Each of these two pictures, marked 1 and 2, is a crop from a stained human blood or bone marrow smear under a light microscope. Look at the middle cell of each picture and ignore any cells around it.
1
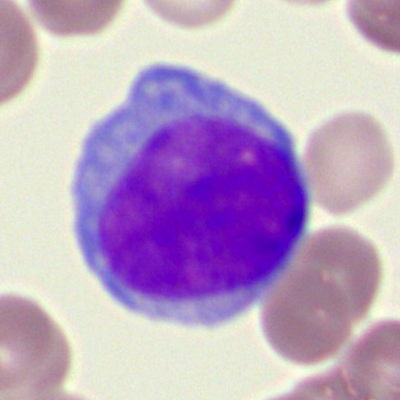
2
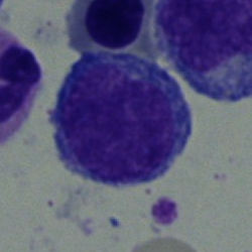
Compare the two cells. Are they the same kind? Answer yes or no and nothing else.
yes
